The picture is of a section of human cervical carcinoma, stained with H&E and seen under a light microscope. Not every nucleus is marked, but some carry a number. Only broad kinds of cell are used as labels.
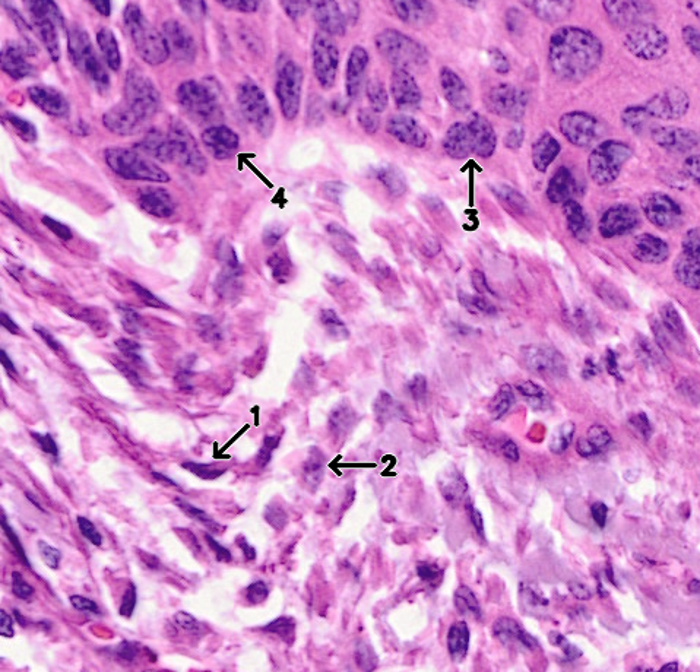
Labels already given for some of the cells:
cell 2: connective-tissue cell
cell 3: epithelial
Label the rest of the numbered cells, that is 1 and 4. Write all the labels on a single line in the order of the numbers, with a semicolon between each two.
connective-tissue cell; epithelial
